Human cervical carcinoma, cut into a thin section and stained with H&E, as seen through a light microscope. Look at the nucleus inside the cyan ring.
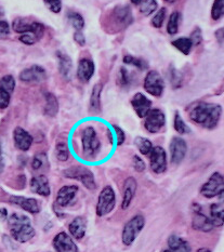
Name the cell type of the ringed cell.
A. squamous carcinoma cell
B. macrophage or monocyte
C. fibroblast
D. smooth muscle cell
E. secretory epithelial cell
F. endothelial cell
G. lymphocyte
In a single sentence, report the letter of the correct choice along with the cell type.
Option G is the right choice, for the ringed cell is a lymphocyte.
